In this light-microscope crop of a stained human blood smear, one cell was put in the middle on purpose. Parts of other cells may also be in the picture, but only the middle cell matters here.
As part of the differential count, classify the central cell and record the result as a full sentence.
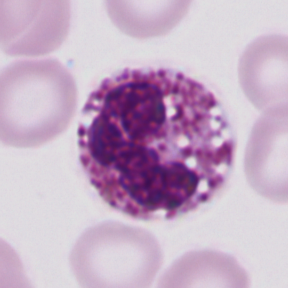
This crop's central cell is an eosinophil.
